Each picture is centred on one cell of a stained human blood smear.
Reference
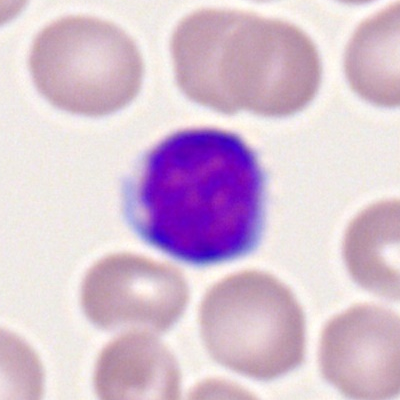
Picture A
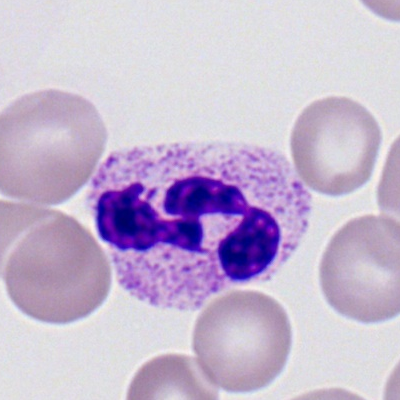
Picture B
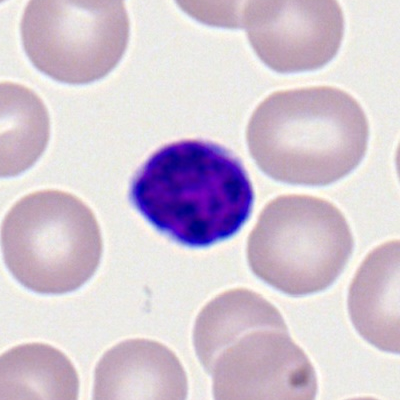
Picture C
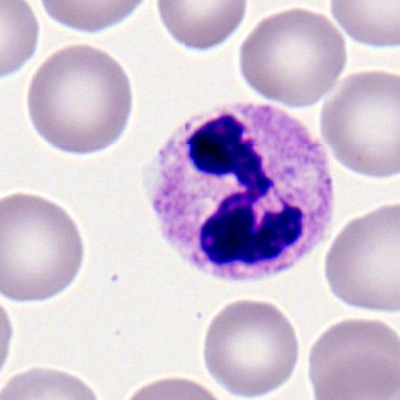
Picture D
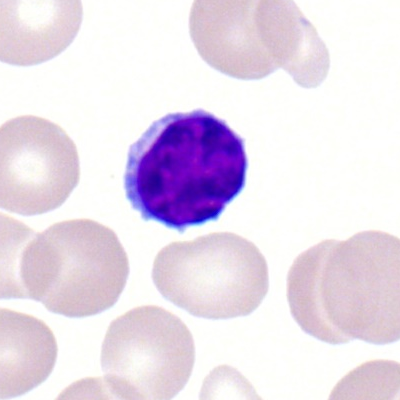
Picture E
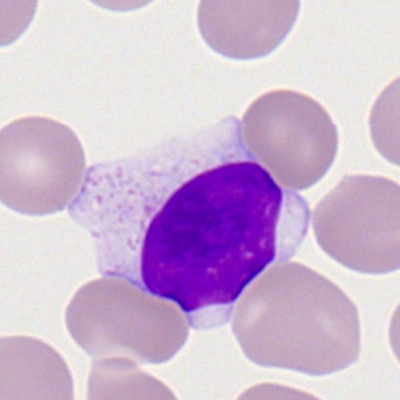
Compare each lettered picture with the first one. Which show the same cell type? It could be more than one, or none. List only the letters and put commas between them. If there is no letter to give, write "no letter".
B, D, E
